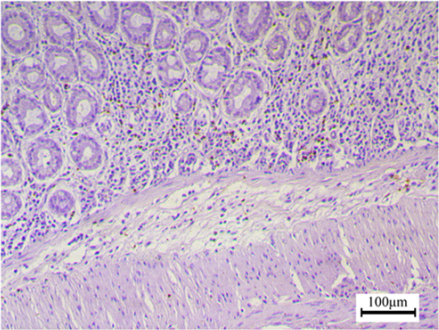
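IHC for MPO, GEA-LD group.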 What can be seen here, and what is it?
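This section of an intestinal wall keeps its mucosa of round to oval crypts cut in cross section, each lined by cells with pale cytoplasm and nuclei at the base. Between the crypts and beneath them the tissue holds many small cells with blue nuclei. Below the mucosa lies a loose pale layer, and at the bottom the muscle layer is formed of elongated cells with spindle-shaped nuclei.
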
